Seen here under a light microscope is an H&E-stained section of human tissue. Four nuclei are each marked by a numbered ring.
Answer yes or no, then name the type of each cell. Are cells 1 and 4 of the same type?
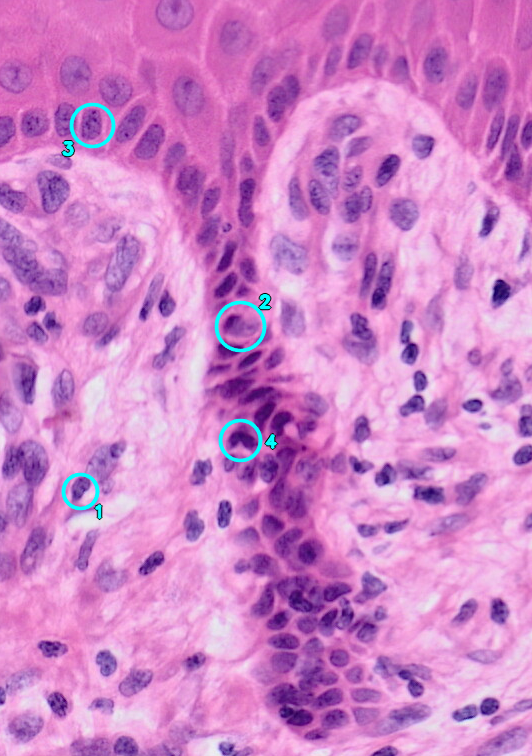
No, cell 1 is a lymphocyte, with cell 4 being a keratinocyte.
